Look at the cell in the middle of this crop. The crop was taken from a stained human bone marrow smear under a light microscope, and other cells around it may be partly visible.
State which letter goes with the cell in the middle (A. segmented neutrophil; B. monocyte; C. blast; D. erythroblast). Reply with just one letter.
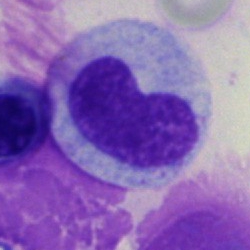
B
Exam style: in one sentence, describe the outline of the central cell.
Smooth outline, no projections: that is the whole story of its edge.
